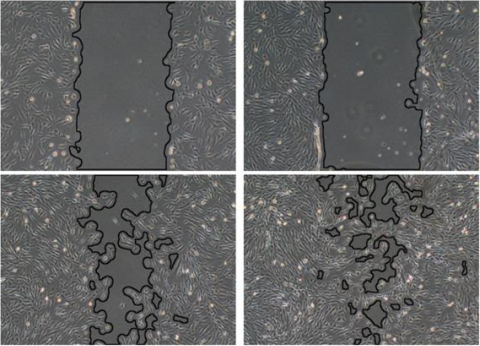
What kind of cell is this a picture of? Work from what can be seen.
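Cultured cells are elongated and spindle-shaped. Cells lie side by side in a dense monolayer, roughly aligned in streams. On this evidence: fibroblast.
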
